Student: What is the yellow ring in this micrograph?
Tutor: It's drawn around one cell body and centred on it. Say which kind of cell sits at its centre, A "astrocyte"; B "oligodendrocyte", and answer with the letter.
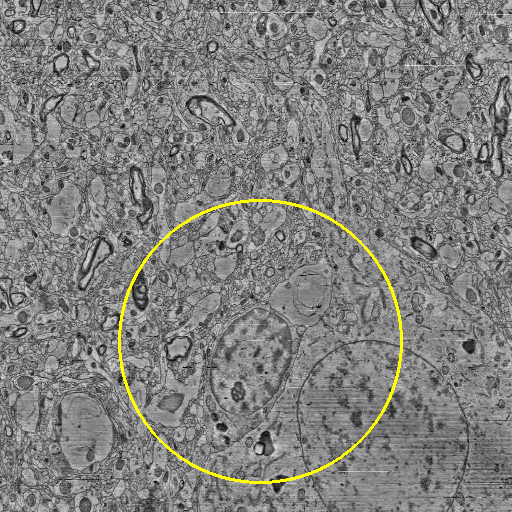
B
